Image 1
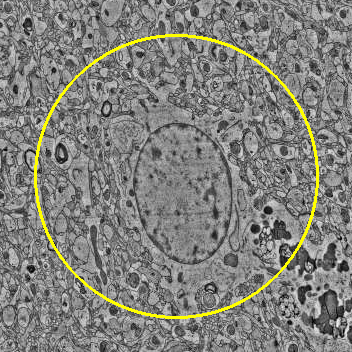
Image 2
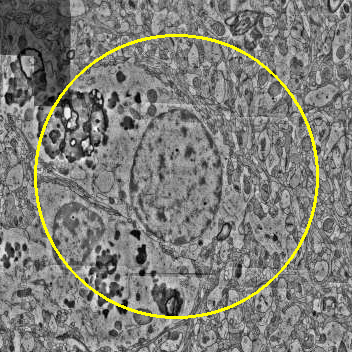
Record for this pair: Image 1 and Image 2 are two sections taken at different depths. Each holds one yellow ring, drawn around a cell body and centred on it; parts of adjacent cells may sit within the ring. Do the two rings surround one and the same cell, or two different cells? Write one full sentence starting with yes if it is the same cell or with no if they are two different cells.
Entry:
No, there are two different cells marked by the rings.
